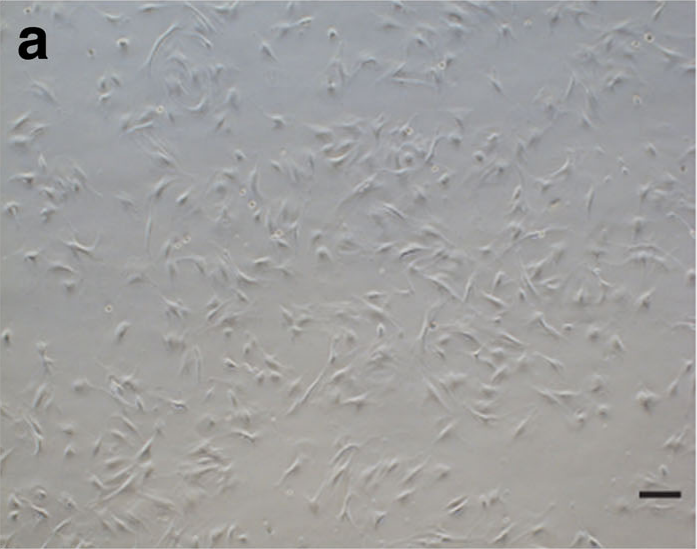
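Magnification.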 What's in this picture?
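Most are elongated and spindle-like, some with two or three short processes, oriented in varied directions, with a few loose swirls. Scattered small round bright bodies lie among them. There is no confluent sheet.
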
